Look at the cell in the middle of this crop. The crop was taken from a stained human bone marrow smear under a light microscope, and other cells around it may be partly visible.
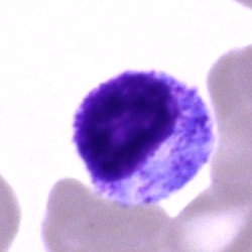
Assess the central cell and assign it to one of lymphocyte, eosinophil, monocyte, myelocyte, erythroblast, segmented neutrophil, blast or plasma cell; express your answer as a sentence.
The cell of interest, located centrally, is a myelocyte.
